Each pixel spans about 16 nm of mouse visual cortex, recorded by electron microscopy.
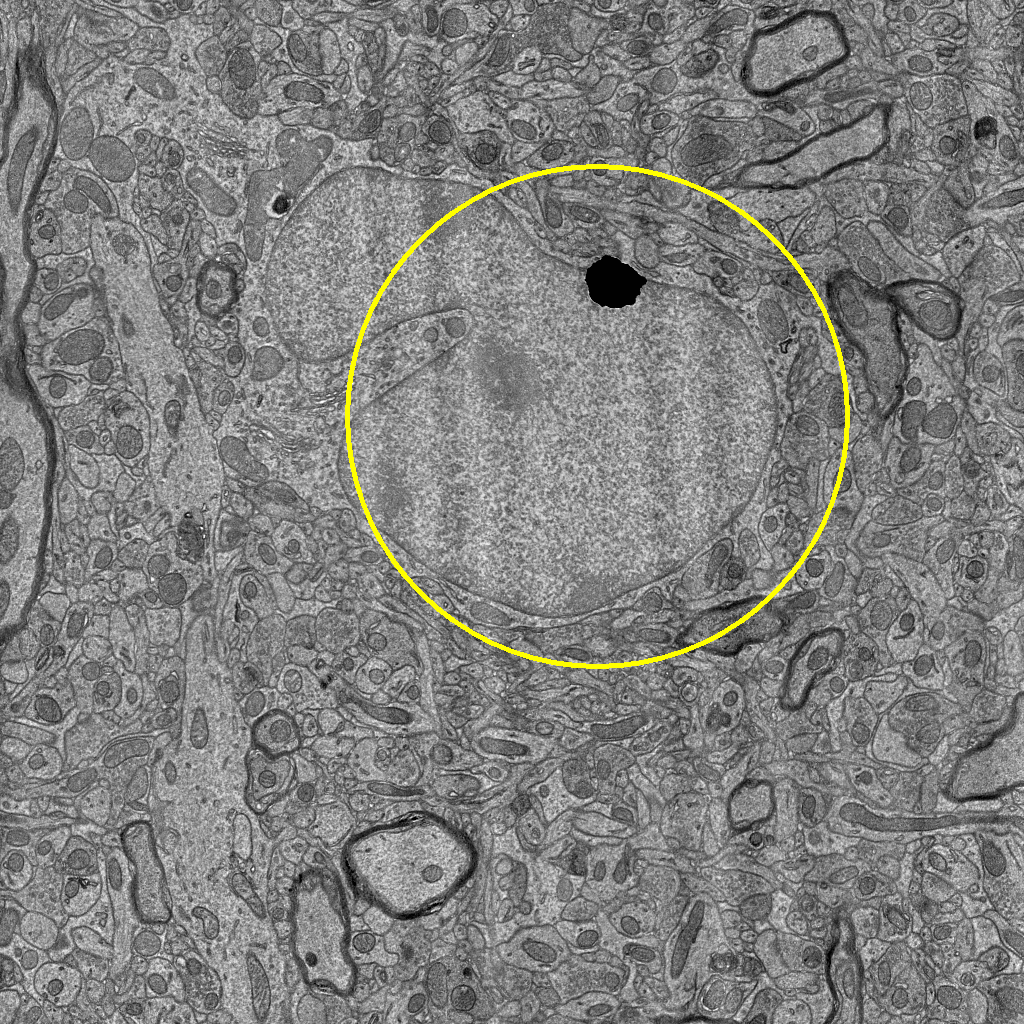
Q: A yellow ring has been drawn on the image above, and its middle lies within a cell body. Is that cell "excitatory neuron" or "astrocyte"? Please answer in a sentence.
The ring's middle lies in the cell body of an astrocyte.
